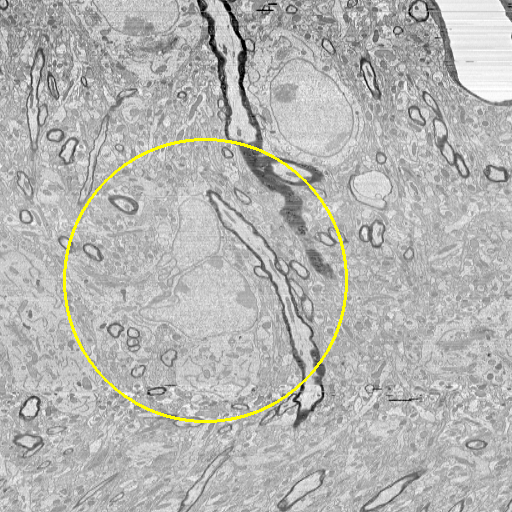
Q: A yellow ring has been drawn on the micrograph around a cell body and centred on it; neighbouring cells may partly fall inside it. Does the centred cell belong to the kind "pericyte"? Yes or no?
No, it belongs to another kind.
